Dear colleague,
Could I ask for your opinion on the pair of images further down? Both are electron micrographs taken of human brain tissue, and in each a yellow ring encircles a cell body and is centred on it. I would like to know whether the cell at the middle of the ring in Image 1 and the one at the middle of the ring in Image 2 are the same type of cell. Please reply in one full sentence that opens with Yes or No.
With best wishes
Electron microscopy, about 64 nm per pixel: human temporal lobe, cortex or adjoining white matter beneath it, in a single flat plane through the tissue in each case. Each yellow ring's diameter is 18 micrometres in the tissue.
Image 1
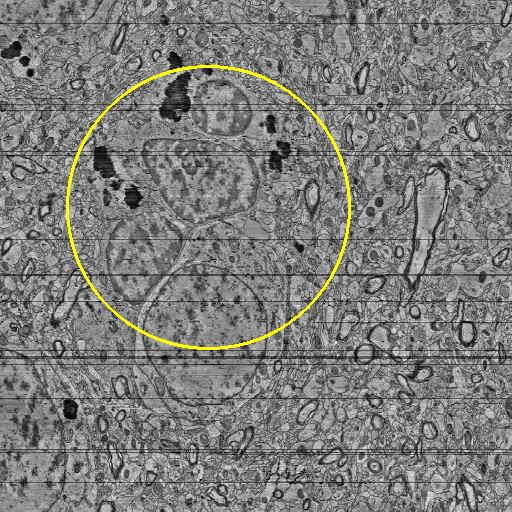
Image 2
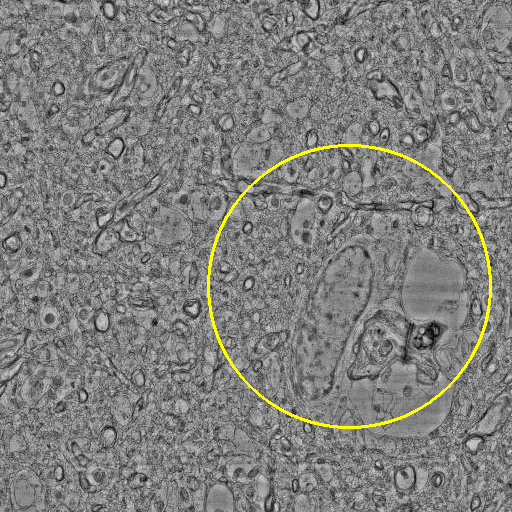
No, the cells at the ring centres in Image 1 and Image 2 are of two types.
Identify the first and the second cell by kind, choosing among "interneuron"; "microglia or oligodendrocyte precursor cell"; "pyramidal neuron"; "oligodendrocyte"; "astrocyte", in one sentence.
The one in the first picture is an oligodendrocyte, while the one in the second is a microglial cell or oligodendrocyte precursor cell.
